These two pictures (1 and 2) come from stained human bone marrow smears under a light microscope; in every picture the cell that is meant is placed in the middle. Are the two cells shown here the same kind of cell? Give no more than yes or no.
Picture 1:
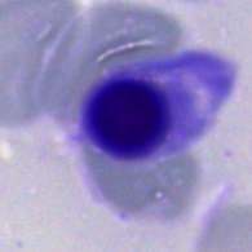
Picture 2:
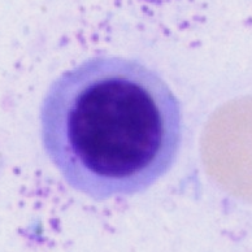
yes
